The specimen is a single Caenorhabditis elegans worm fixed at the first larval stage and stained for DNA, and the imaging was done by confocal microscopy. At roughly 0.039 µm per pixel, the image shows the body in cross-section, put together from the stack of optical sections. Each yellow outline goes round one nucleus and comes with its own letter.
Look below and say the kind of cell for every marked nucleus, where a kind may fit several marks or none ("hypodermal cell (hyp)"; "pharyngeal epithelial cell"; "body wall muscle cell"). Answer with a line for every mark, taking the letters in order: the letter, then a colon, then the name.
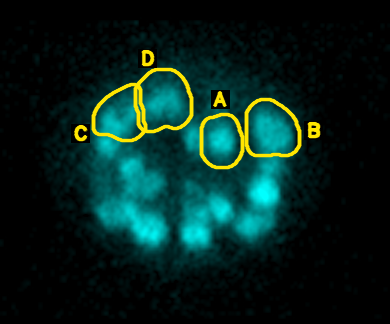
A: pharyngeal epithelial cell
B: body wall muscle cell
C: body wall muscle cell
D: hypodermal cell (hyp)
